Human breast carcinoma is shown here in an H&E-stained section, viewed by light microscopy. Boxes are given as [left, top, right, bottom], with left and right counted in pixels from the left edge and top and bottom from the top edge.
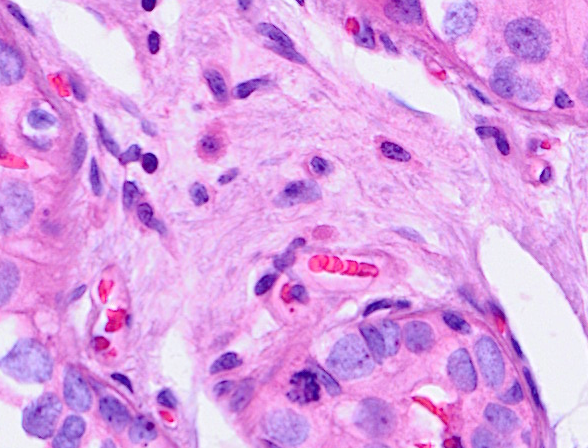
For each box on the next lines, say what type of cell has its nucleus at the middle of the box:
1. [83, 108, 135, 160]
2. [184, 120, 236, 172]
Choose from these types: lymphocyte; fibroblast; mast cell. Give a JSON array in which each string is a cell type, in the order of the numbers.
["fibroblast", "mast cell"]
